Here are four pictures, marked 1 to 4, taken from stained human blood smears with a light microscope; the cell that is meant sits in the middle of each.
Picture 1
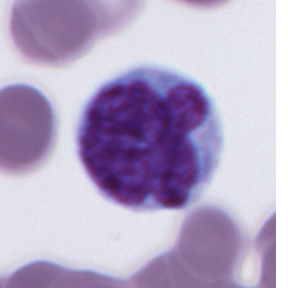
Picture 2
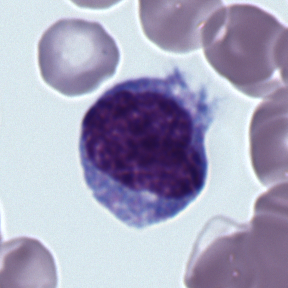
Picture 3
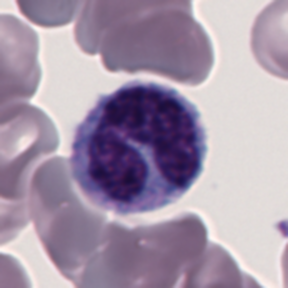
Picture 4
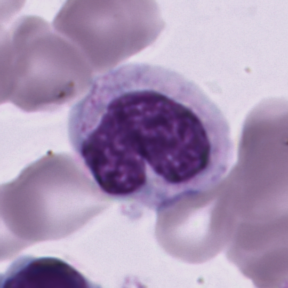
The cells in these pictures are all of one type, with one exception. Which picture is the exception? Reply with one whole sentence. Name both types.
Unlike the rest, which show monocytes, picture 4 shows a band neutrophil.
